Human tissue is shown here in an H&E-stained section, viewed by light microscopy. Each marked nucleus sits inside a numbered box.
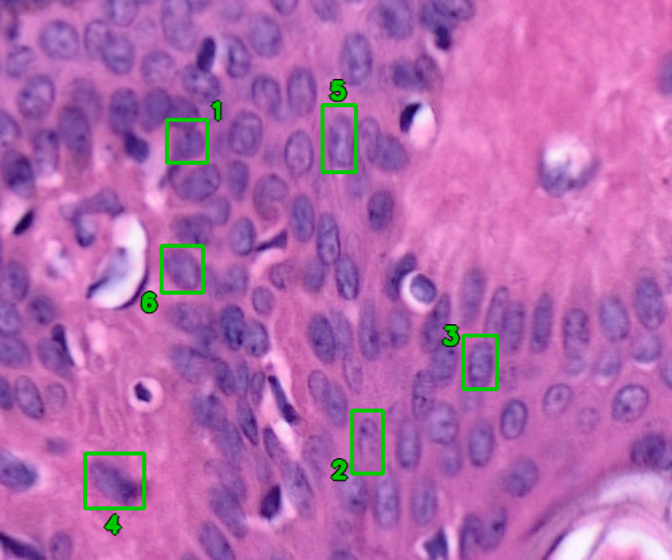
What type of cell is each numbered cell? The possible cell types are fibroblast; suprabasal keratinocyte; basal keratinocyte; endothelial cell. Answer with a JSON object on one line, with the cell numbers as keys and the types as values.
{"1": "basal keratinocyte", "2": "suprabasal keratinocyte", "3": "suprabasal keratinocyte", "4": "fibroblast", "5": "suprabasal keratinocyte", "6": "basal keratinocyte"}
